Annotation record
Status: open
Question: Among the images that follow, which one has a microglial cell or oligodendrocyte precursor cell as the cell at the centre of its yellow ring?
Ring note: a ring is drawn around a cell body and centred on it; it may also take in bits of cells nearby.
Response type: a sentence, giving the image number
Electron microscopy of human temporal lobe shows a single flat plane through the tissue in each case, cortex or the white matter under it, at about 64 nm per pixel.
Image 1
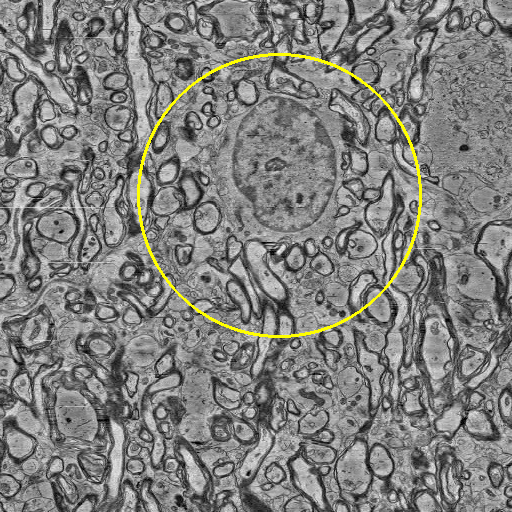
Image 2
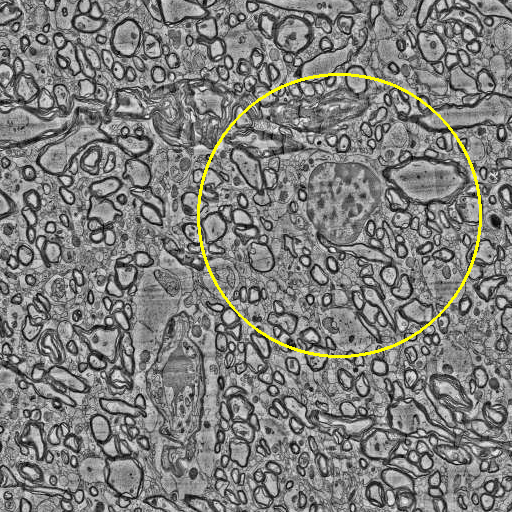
Image 2 shows it at the centre of its ring.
